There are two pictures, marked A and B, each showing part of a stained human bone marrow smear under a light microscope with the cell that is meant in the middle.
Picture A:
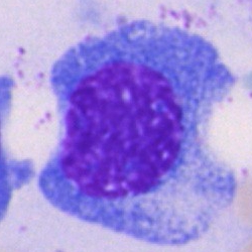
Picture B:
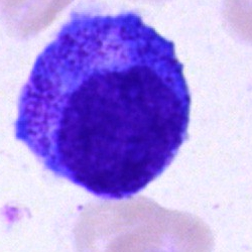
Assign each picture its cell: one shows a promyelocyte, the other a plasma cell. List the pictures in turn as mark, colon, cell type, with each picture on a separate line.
A: plasma cell
B: promyelocyte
